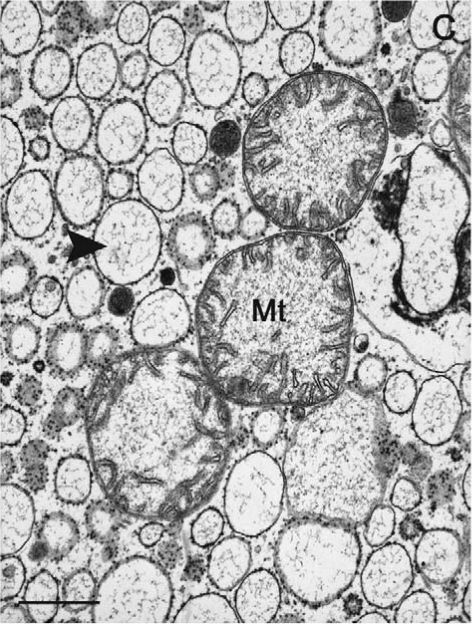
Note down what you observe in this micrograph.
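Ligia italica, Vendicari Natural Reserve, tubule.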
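The cytoplasm of an S cell of the hepatopancreas is filled with rounded vesicles of rough endoplasmic reticulum of various sizes, their membranes studded with ribosomes. Among them lie several large, rounded mitochondria with a pale, swollen matrix and only short, sparse cristae near their edges.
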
